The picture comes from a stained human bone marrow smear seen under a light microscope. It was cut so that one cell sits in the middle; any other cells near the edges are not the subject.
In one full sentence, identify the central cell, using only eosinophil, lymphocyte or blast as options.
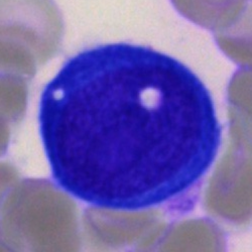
The cell positioned in the middle of the field is a blast.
